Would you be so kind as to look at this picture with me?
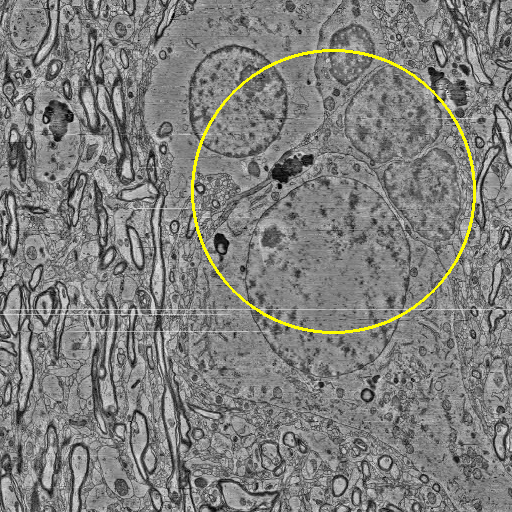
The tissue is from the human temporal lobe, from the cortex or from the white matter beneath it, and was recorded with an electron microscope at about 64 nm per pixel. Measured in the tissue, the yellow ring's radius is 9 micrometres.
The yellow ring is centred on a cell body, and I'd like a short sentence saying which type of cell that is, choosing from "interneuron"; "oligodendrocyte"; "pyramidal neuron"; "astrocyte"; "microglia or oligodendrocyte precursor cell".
The cell body in the ring belongs to a pyramidal neuron.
